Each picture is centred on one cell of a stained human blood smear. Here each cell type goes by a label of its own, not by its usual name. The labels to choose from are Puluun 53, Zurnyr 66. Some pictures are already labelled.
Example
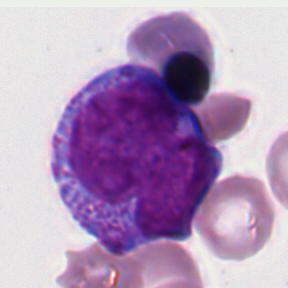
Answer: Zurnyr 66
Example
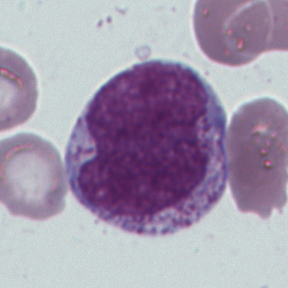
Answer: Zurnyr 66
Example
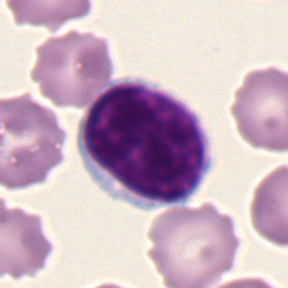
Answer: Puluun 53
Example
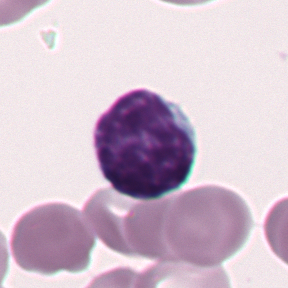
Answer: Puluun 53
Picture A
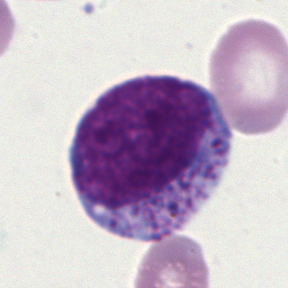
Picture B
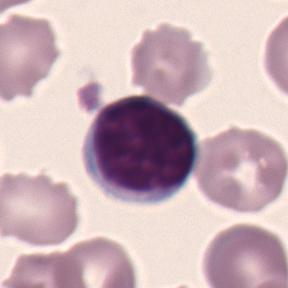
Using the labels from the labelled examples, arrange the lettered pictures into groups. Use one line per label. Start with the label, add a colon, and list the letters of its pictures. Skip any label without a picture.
Puluun 53: B
Zurnyr 66: A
